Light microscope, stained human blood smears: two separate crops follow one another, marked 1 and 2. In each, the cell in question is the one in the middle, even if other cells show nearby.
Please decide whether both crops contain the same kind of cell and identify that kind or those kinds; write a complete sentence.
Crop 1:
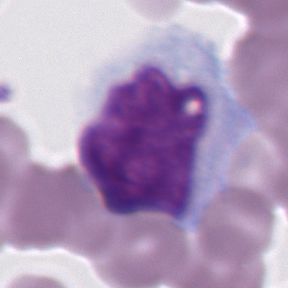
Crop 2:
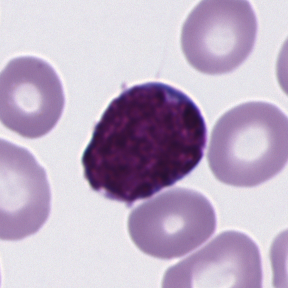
No, crop 1 has a monocyte in the middle, and crop 2 has a myeloblast.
